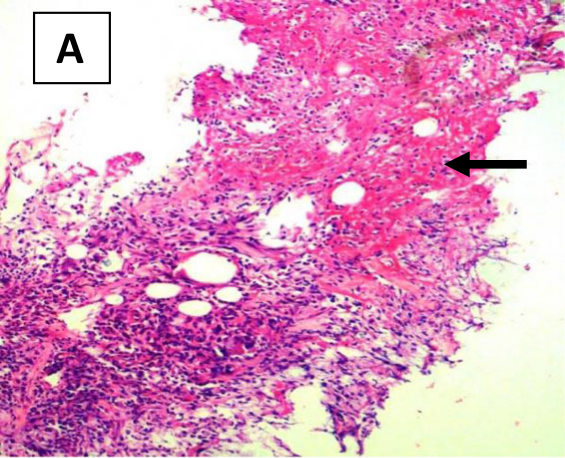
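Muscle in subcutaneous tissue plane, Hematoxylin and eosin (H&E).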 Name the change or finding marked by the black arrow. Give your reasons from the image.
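The arrow points to a bright pink, eosinophilic area. The pink area has few, faint nuclei compared with the cellular tissue below it.
Conclusion: Coagulative necrosis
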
